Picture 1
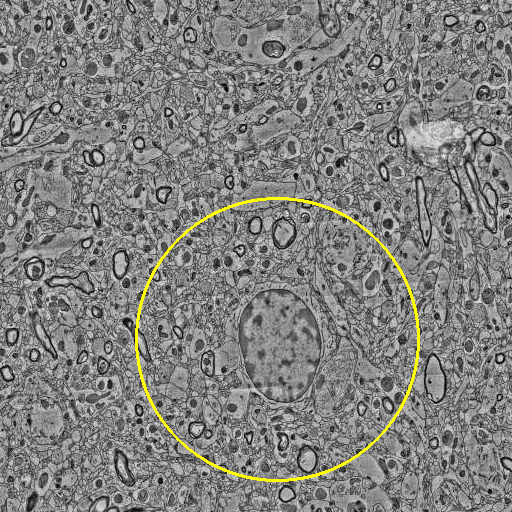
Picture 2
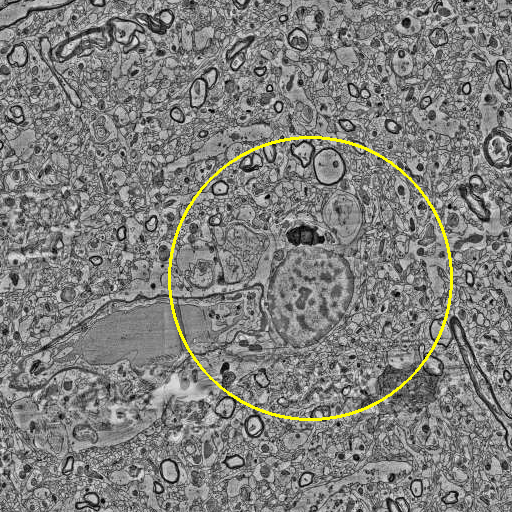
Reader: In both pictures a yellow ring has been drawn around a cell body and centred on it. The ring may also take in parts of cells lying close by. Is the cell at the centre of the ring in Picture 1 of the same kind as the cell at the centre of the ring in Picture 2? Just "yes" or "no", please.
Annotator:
no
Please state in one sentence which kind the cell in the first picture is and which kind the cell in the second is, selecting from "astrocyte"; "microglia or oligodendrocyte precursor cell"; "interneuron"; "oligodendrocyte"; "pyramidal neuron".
The first ringed cell is a microglial cell or oligodendrocyte precursor cell, the second ringed cell an oligodendrocyte.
